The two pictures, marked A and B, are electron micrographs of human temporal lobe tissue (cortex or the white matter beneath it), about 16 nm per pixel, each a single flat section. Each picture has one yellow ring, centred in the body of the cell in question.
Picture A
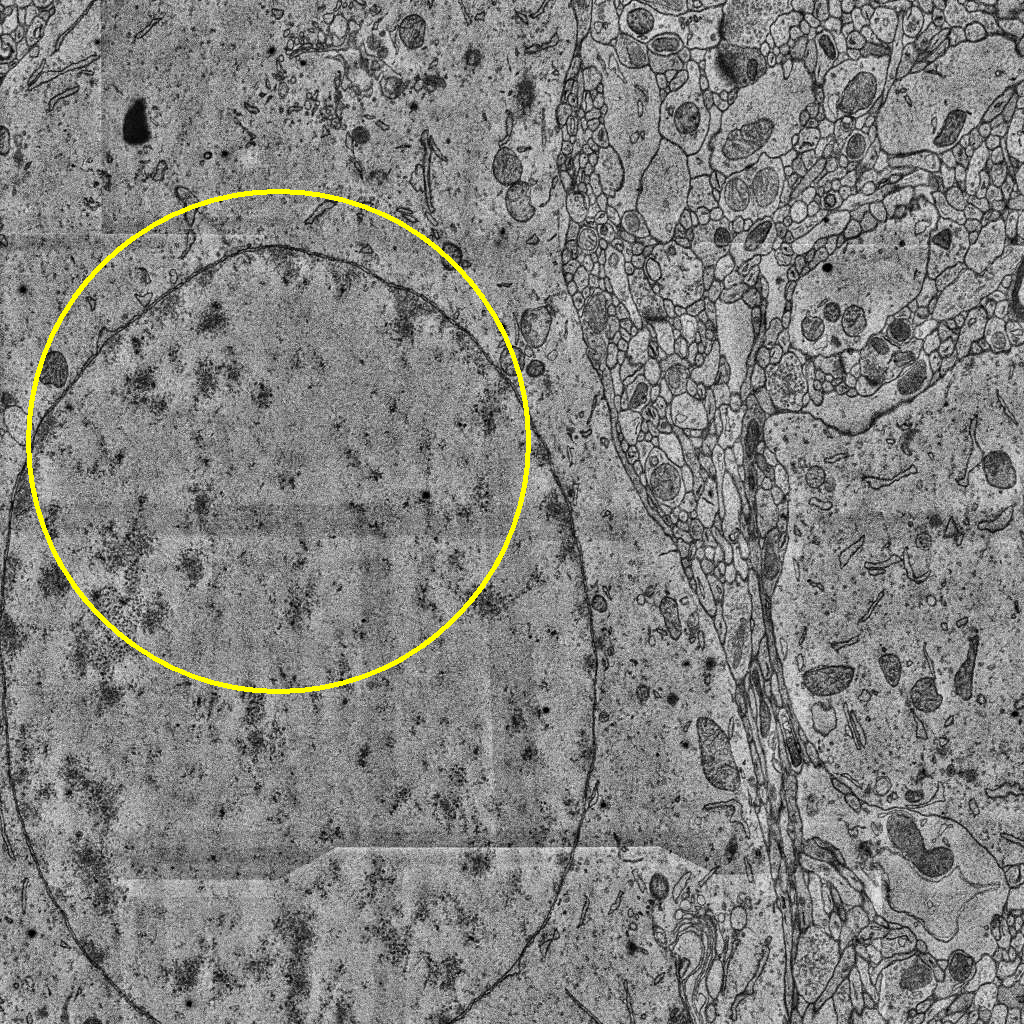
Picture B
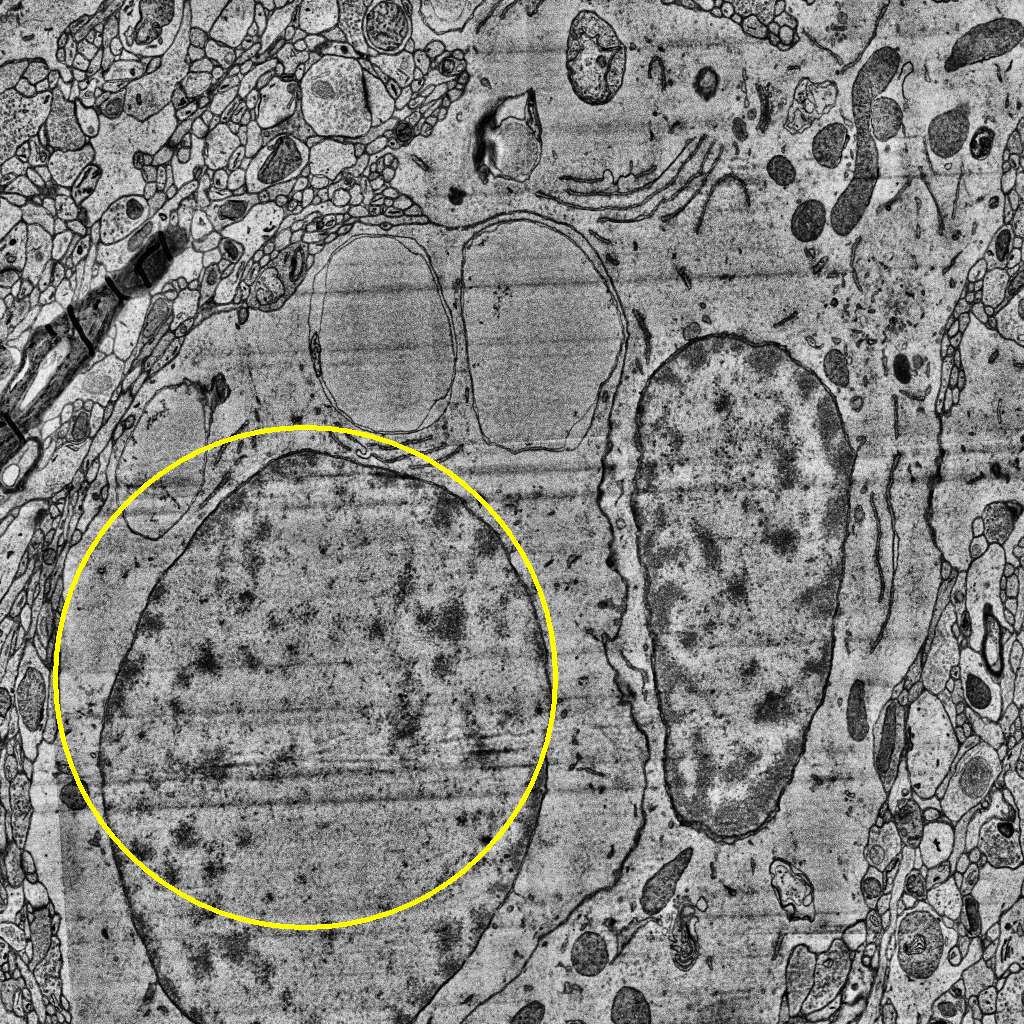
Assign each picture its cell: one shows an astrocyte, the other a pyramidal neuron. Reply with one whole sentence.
Picture B shows an astrocyte, while picture A shows a pyramidal neuron.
